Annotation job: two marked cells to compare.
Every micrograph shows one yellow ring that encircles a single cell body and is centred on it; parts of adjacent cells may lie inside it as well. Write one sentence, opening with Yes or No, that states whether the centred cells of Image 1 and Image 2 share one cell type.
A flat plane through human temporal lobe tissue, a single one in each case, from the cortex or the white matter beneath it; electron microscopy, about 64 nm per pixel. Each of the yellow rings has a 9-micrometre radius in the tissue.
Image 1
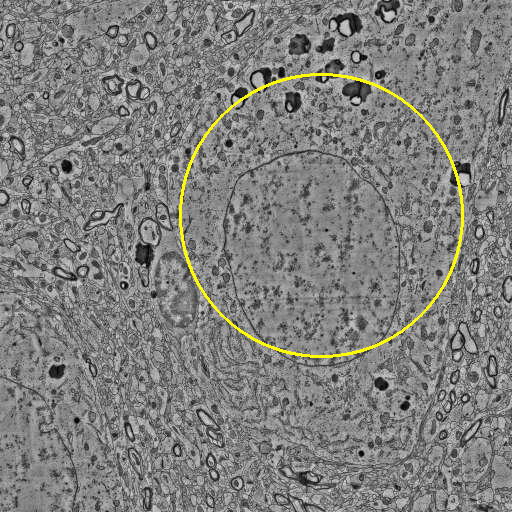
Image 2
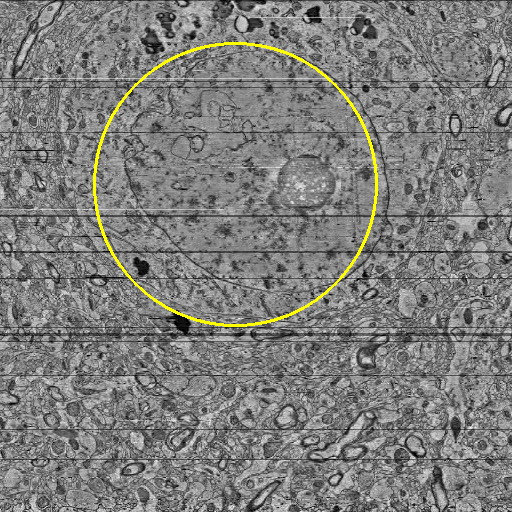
Yes, the cell centred in Image 1 shares its type with the cell centred in Image 2.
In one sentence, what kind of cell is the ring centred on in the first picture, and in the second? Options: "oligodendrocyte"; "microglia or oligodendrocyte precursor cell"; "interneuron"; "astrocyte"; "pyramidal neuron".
Each of the ringed cells, first and second, is a pyramidal neuron.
